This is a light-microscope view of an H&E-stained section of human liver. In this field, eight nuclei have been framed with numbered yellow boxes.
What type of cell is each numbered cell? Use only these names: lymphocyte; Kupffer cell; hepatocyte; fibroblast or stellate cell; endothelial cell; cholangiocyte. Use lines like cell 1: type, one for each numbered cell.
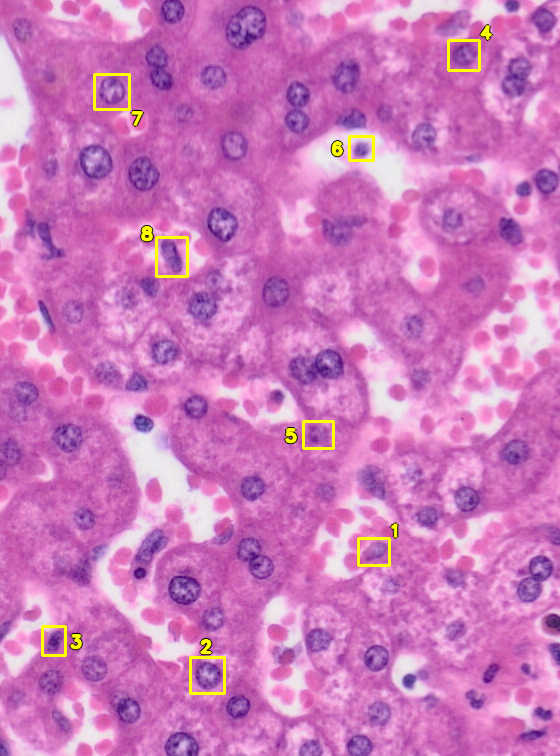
cell 1: Kupffer cell
cell 2: hepatocyte
cell 3: fibroblast or stellate cell
cell 4: hepatocyte
cell 5: hepatocyte
cell 6: lymphocyte
cell 7: hepatocyte
cell 8: Kupffer cell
